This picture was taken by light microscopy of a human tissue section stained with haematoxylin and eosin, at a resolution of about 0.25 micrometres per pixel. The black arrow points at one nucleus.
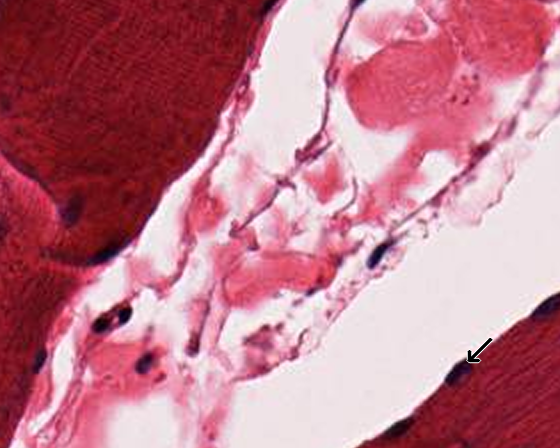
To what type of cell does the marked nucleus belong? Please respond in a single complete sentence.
Here the marked nucleus belongs to a skeletal muscle fibre.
